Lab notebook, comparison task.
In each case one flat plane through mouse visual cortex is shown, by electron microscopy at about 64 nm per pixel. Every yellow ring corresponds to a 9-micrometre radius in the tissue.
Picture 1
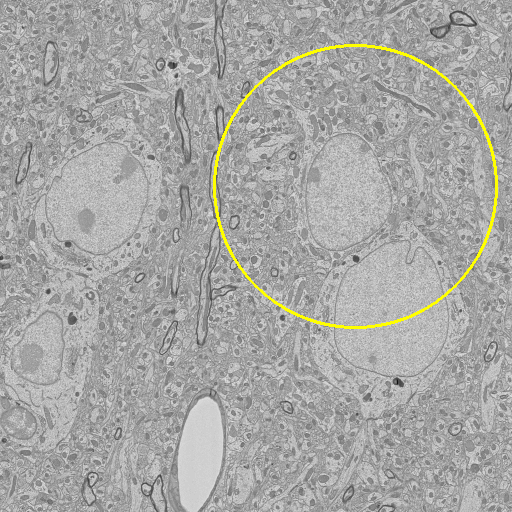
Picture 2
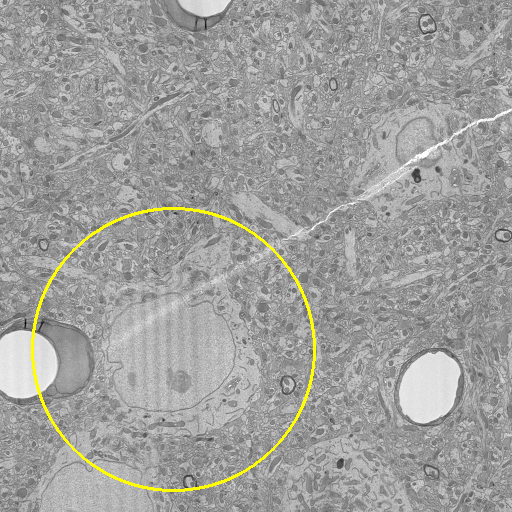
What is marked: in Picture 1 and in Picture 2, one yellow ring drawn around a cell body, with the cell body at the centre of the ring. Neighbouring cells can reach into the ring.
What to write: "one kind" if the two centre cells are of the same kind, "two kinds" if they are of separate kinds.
two kinds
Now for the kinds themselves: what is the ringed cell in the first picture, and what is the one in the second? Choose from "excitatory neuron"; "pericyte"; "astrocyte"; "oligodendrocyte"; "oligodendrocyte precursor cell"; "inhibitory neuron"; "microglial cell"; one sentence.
Here the first cell is an astrocyte and the second cell is an excitatory neuron.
